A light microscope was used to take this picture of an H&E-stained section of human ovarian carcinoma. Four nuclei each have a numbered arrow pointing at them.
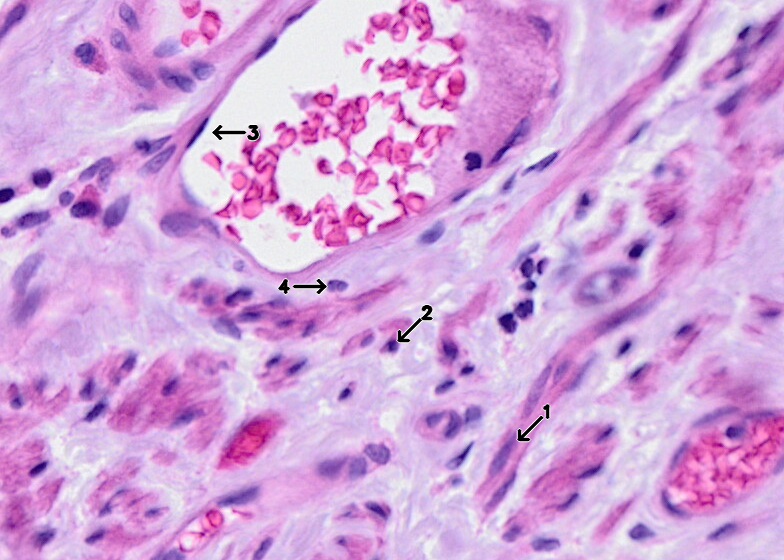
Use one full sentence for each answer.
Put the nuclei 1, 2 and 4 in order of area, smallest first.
The order from the smallest nucleus to the largest is 2, 4, 1.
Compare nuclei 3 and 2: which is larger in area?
Of the two, number 3 is bigger and takes up about 2 times the area of number 2.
